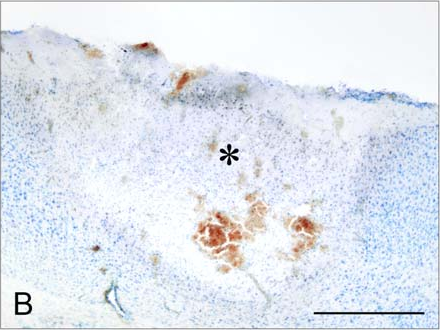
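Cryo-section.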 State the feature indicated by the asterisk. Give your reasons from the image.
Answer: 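Lesion. The asterisk sits in a pale, disorganised area of tissue. Brown patches of blood-like material lie within and below this area. Surrounding tissue at the edges is more evenly blue-stained.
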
